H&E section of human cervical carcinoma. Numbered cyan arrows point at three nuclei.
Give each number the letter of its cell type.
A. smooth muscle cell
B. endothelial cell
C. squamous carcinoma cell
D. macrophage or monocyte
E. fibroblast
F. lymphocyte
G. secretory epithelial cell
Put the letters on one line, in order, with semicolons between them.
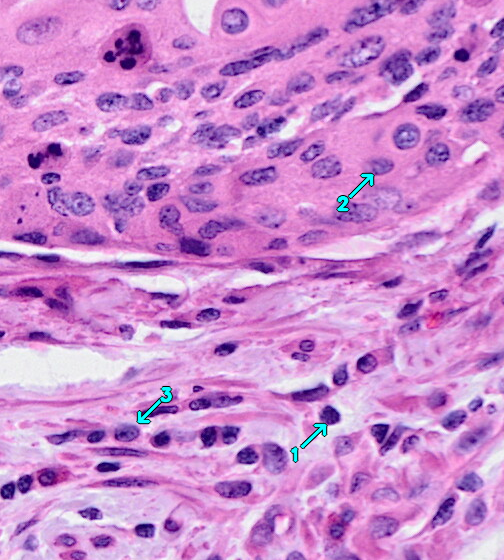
F; C; F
